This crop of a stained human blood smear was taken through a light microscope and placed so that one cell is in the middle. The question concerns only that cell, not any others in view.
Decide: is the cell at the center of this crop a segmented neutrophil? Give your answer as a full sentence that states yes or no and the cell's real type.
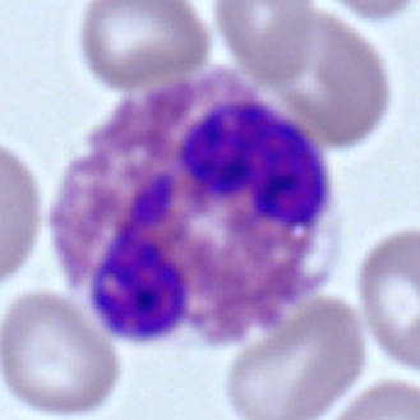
No, the cell of interest here is an eosinophil and not a segmented neutrophil.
